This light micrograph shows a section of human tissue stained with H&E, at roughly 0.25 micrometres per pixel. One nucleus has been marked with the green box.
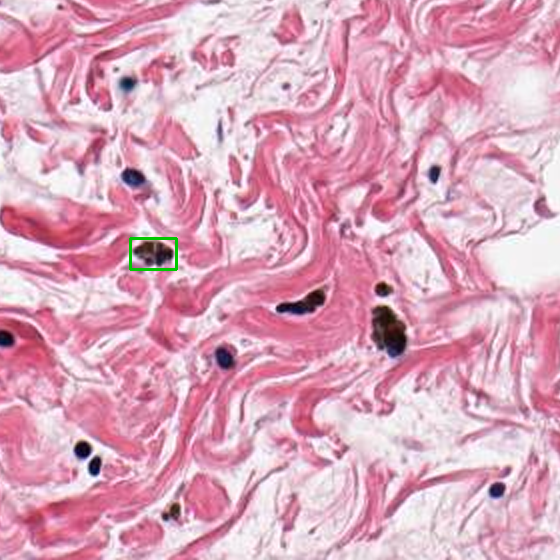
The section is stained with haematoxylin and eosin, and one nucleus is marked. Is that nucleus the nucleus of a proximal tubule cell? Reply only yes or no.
no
